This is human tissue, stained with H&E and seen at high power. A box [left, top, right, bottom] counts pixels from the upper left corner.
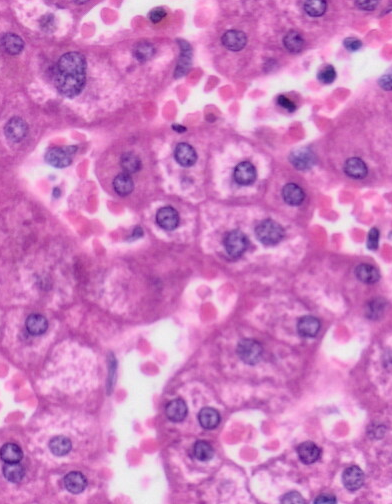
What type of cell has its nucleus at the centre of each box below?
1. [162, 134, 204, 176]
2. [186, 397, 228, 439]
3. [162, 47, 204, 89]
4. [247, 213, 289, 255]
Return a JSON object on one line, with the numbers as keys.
{"1": "hepatocyte", "2": "hepatocyte", "3": "Kupffer cell", "4": "hepatocyte"}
